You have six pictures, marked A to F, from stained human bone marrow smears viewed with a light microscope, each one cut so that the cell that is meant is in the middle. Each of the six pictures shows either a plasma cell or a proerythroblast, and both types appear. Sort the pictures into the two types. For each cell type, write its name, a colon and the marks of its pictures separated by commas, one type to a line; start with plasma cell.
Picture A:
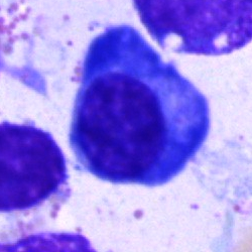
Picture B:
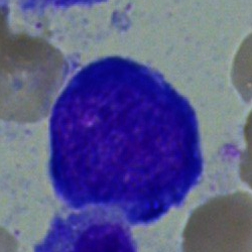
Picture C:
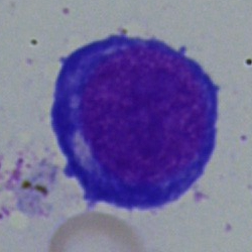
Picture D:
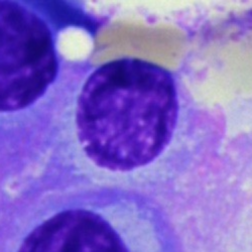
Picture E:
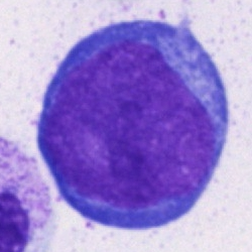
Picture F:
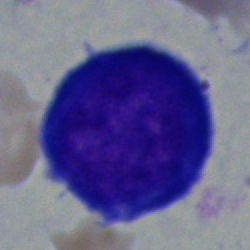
plasma cell: A, D
proerythroblast: B, C, E, F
